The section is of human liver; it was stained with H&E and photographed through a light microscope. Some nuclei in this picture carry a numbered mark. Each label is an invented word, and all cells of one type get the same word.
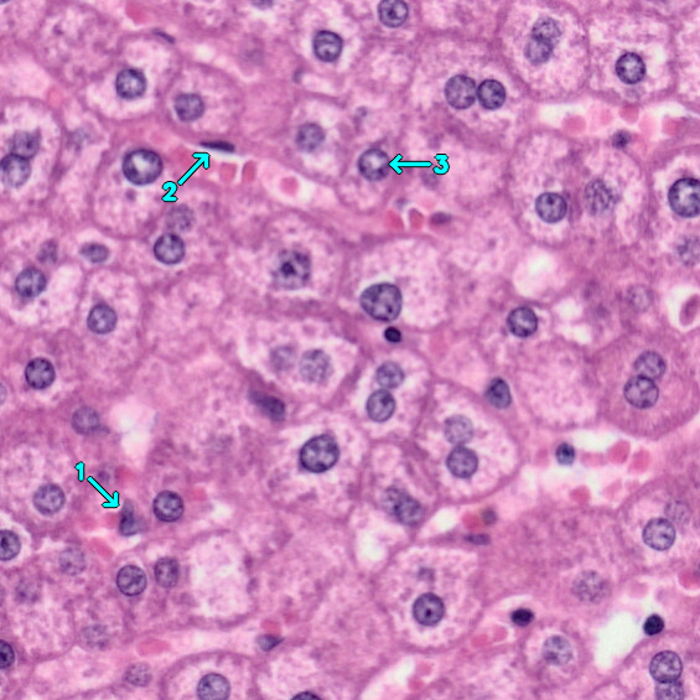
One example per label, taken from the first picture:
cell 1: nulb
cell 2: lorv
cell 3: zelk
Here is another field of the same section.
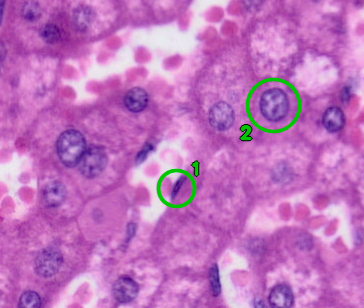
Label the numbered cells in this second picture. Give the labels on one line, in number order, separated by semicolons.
lorv; zelk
